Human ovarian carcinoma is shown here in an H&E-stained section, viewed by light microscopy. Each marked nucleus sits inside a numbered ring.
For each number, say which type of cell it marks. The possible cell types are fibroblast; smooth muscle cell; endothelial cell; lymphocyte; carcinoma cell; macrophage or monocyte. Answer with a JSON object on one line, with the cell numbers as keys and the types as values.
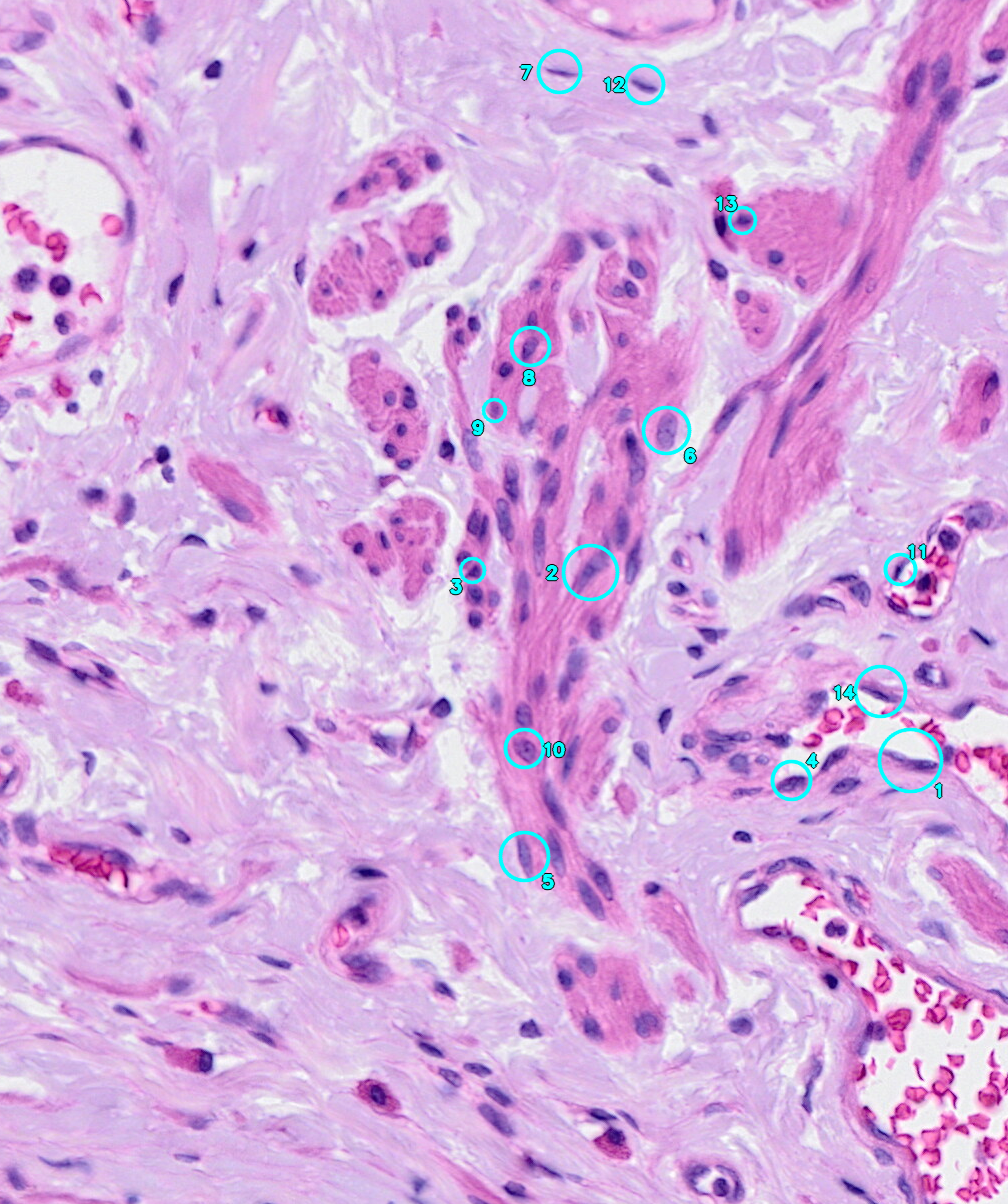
{"1": "endothelial cell", "2": "smooth muscle cell", "3": "smooth muscle cell", "4": "endothelial cell", "5": "smooth muscle cell", "6": "smooth muscle cell", "7": "fibroblast", "8": "smooth muscle cell", "9": "smooth muscle cell", "10": "smooth muscle cell", "11": "endothelial cell", "12": "fibroblast", "13": "smooth muscle cell", "14": "endothelial cell"}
